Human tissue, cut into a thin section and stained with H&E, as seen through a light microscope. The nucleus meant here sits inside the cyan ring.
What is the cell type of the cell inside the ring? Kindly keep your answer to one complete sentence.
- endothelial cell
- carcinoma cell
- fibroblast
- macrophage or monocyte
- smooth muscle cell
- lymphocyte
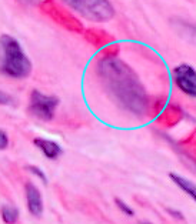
Recorded by type, the cell inside the ring is an endothelial cell.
